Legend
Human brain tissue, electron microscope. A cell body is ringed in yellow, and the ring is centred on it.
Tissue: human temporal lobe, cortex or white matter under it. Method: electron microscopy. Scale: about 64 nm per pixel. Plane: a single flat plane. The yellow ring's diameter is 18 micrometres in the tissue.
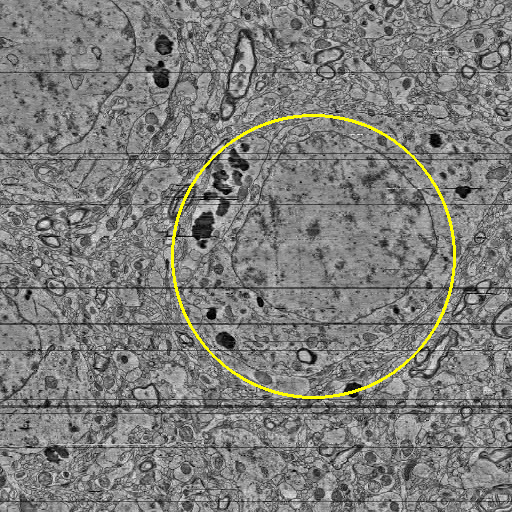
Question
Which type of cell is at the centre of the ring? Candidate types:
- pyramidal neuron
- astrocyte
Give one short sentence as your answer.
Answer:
The yellow ring is centred here on a pyramidal neuron.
